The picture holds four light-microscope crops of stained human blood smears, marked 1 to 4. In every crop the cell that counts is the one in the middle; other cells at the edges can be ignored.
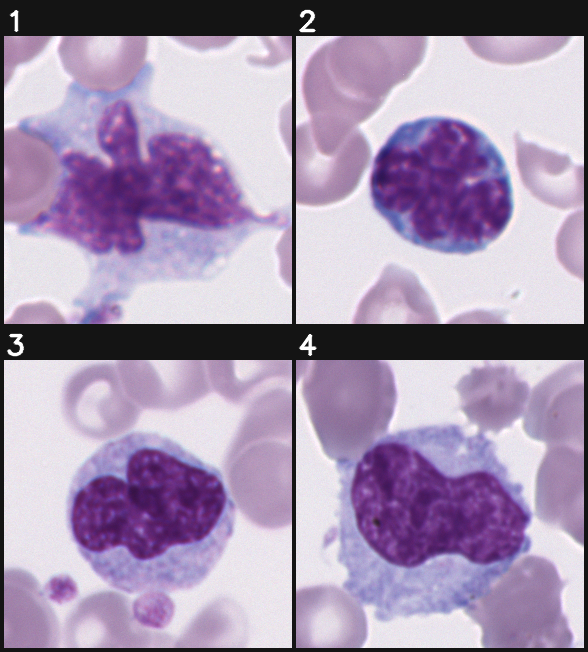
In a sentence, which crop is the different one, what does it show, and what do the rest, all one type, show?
The crop that differs is 2, which is a myeloblast; the rest are monocytes.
